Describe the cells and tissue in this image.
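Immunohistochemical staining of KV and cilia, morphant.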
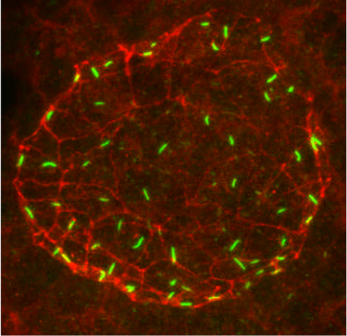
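A round epithelial vesicle is seen from above, with a red network outlining the polygonal cells that line it. Each of many cells bears a single green cilium, which here appears as a short, straight dash rather than a long thread, distributed over the whole vesicle.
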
